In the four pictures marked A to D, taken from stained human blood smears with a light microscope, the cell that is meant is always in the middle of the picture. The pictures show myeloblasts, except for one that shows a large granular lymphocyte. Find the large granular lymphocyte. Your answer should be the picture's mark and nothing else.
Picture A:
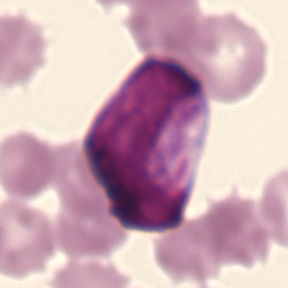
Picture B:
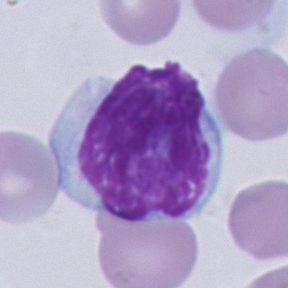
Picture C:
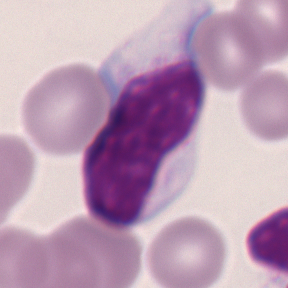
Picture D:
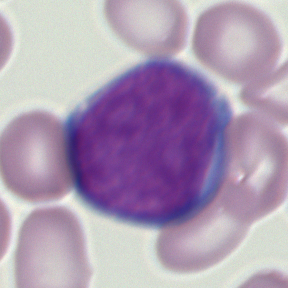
C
